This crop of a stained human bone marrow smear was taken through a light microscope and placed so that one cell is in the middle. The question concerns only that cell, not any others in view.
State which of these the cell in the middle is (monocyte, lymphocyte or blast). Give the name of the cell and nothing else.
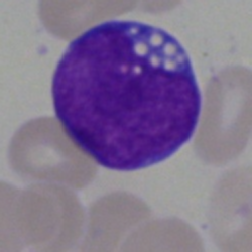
blast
